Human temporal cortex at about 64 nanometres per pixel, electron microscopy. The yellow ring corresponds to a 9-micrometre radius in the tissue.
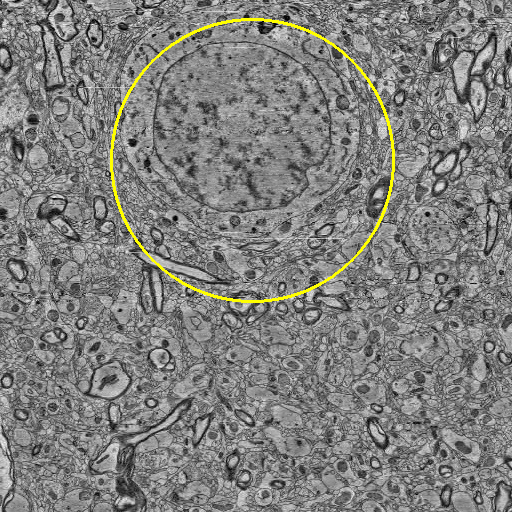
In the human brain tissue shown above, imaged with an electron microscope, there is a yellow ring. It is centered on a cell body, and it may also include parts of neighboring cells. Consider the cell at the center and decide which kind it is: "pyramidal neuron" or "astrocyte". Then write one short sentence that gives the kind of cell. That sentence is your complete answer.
This centered cell body is that of a pyramidal neuron.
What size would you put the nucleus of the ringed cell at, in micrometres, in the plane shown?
Roughly 12 micrometers across, in this plane.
